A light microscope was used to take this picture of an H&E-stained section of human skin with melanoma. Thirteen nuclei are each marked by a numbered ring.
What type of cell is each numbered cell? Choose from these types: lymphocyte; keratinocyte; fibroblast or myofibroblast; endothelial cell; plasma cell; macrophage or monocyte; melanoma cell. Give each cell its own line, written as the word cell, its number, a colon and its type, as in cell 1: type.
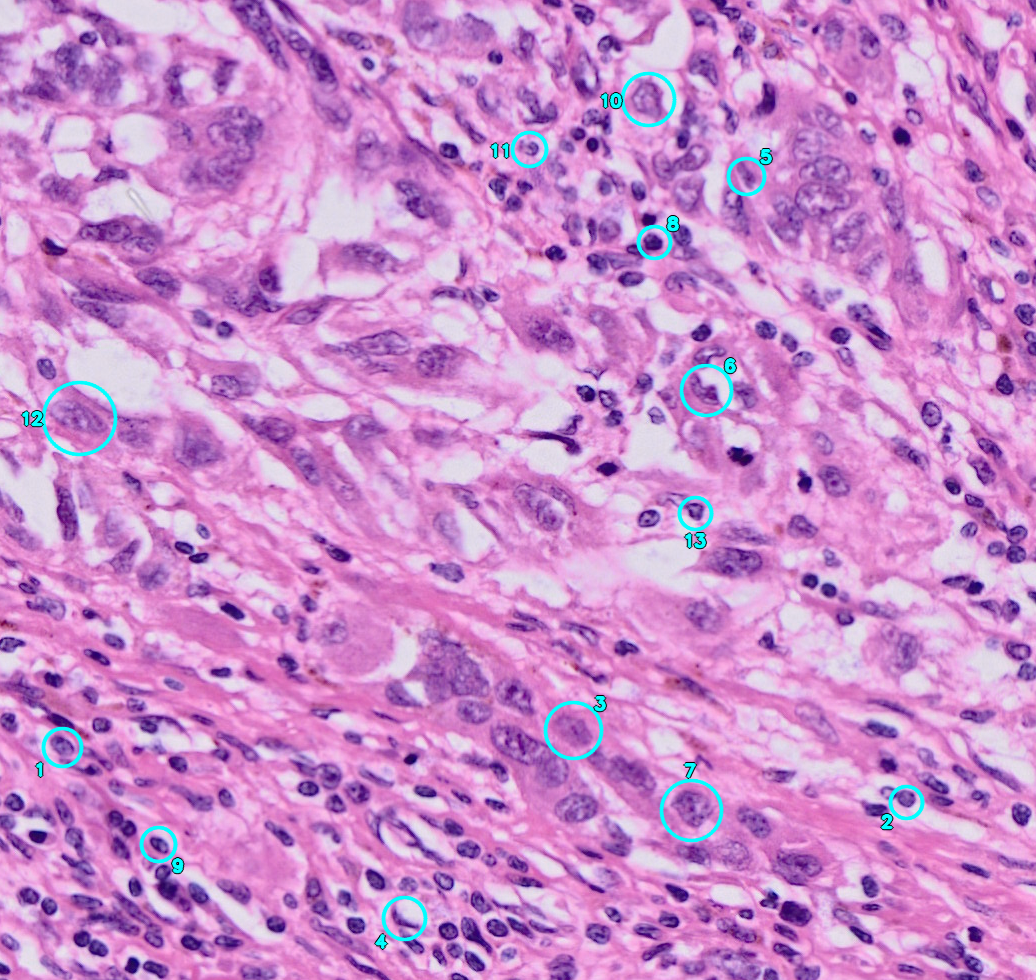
cell 1: lymphocyte
cell 2: lymphocyte
cell 3: melanoma cell
cell 4: fibroblast or myofibroblast
cell 5: melanoma cell
cell 6: melanoma cell
cell 7: melanoma cell
cell 8: lymphocyte
cell 9: lymphocyte
cell 10: melanoma cell
cell 11: lymphocyte
cell 12: melanoma cell
cell 13: lymphocyte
